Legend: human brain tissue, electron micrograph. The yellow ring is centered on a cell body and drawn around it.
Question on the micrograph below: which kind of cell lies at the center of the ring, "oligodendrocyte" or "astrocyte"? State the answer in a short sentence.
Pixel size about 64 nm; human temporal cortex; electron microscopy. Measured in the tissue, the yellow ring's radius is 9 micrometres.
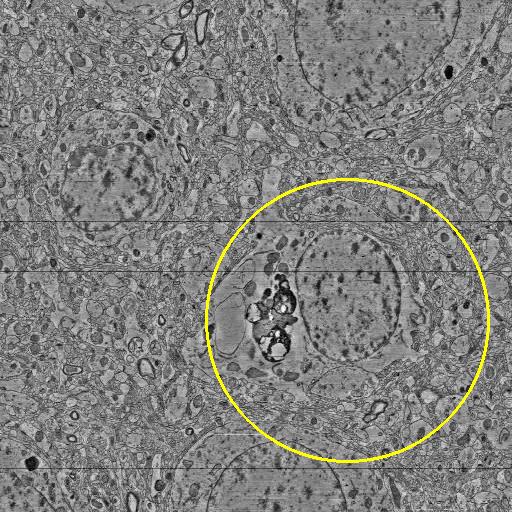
At the center of the ring lies an astrocyte.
